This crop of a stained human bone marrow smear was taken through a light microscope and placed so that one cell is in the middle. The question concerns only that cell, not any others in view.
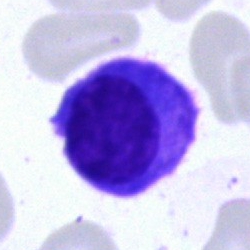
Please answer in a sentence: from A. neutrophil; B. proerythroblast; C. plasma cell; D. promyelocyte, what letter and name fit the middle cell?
Of the choices given, option C is right, as the central cell is a plasma cell.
